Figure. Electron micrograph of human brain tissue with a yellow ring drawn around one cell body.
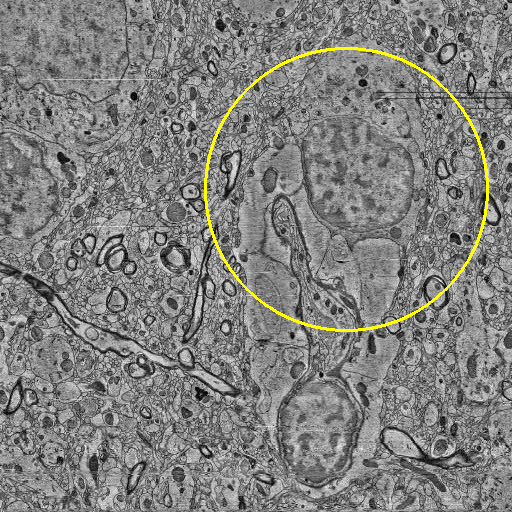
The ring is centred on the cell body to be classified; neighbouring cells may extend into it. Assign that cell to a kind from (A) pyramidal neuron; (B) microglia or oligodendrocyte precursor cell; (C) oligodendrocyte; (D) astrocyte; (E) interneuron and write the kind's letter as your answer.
C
